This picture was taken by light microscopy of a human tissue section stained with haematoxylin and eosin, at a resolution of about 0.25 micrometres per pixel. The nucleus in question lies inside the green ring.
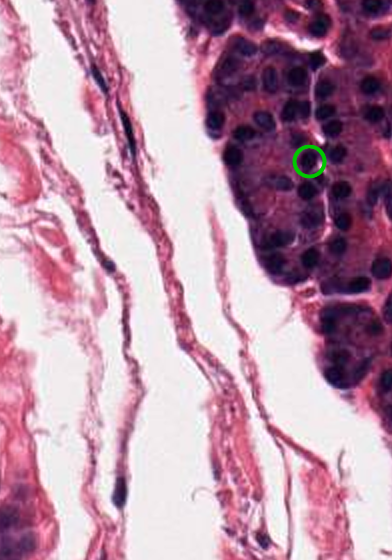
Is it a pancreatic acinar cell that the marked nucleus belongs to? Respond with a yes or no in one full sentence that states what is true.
Yes, the marked nucleus belongs, in this section, to a pancreatic acinar cell.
